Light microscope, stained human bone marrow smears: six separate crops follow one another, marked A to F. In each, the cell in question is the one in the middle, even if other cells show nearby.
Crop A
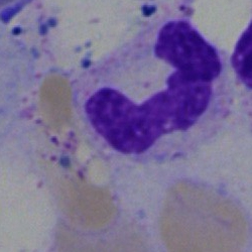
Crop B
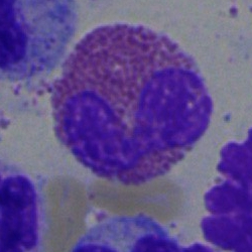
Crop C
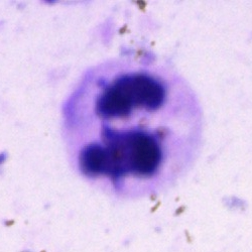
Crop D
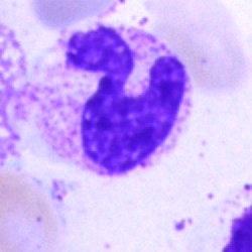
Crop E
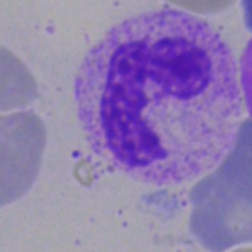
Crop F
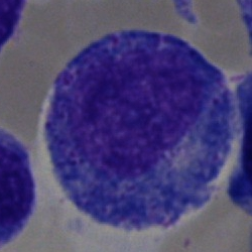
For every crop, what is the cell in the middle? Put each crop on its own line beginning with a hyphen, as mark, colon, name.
- A: segmented neutrophil
- B: eosinophil
- C: segmented neutrophil
- D: segmented neutrophil
- E: segmented neutrophil
- F: promyelocyte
